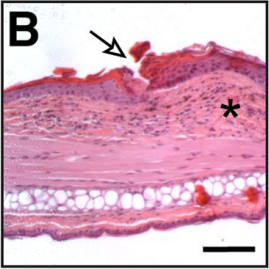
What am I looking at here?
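A cross-section of ear skin shows a pink, thickened upper surface layer whose outer edge is broken and partly lifted off, with detached deep-pink flakes lying on top. Beneath it the connective tissue layer is broad and packed with many small dark purple nuclei, far more cellular than loose dermis. Deeper down runs a band of pale pink fibrous tissue, and below that a row of clear round spaces resembling cartilage or fat cells. Together this reads as a damaged, thickened epidermis overlying a thickened dermis with inflammatory infiltrate and fibrosis.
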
